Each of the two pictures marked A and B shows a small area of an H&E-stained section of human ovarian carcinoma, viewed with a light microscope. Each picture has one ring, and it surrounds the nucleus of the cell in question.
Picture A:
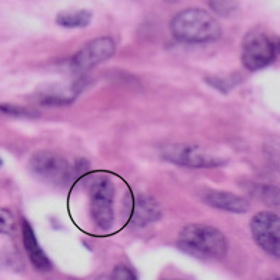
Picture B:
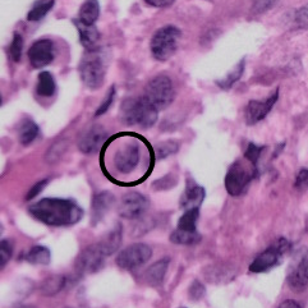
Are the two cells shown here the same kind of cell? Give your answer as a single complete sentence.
Yes; the cells in both pictures are “macrophages or monocytes”.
